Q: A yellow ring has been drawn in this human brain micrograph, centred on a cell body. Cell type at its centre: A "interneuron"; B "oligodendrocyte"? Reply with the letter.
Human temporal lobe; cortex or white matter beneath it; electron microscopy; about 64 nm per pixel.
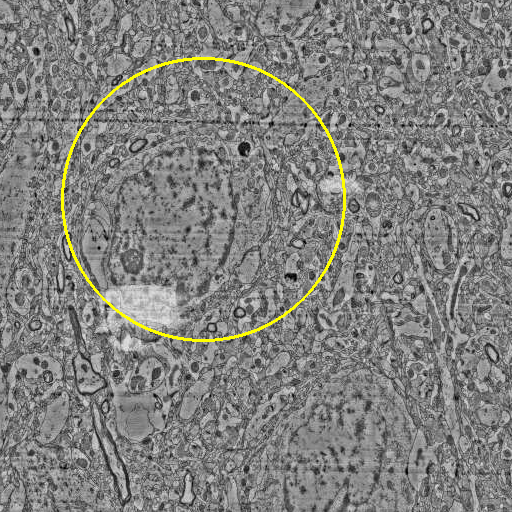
A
